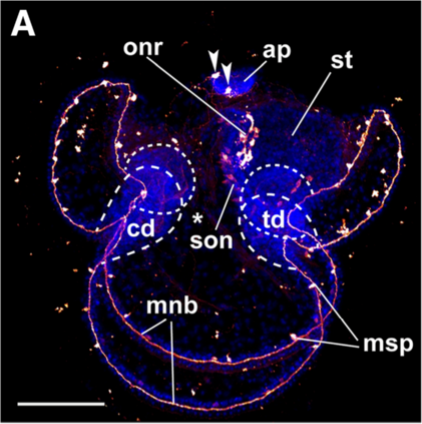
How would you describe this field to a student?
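At the top, a small blue plate at the apical pole holds two bright cell bodies. A thin bright bundle of fibres traces the edges of the lobes, with small bright cell bodies spaced along it. Rounded, densely nucleated discs lie at either side of the middle of the larva.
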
